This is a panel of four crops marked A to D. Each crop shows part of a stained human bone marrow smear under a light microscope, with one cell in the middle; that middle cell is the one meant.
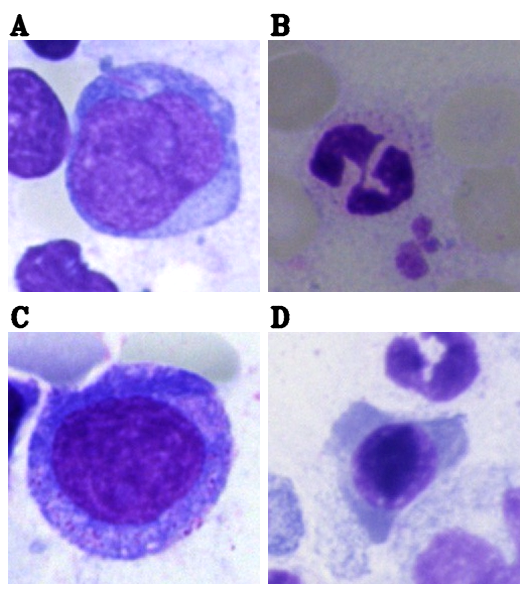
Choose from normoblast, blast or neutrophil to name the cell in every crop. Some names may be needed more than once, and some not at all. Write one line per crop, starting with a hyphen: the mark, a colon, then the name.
- A: blast
- B: neutrophil
- C: blast
- D: normoblast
